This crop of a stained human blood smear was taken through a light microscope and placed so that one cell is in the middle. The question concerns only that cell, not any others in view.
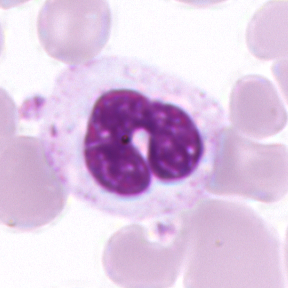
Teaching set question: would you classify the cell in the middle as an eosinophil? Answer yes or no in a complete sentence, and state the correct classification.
No, in this crop the central cell is a band neutrophil instead of an eosinophil.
